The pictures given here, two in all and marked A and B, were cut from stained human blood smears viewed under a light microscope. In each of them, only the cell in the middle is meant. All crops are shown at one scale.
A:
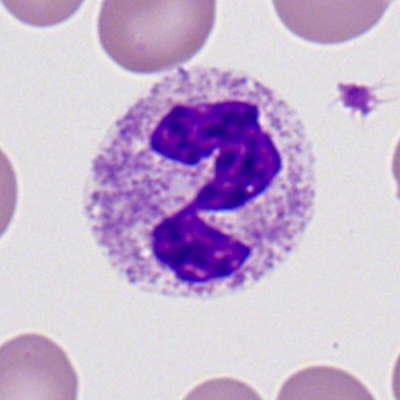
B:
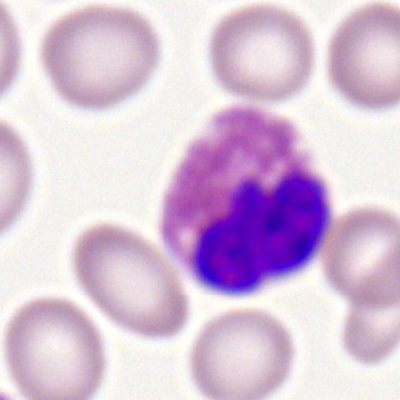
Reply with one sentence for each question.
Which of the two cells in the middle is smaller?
Smaller is the cell in crop B, and the other is about 1.5 times as large in area.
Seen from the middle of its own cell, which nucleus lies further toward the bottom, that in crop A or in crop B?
It is the nucleus in crop B that lies further toward the bottom of its cell.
